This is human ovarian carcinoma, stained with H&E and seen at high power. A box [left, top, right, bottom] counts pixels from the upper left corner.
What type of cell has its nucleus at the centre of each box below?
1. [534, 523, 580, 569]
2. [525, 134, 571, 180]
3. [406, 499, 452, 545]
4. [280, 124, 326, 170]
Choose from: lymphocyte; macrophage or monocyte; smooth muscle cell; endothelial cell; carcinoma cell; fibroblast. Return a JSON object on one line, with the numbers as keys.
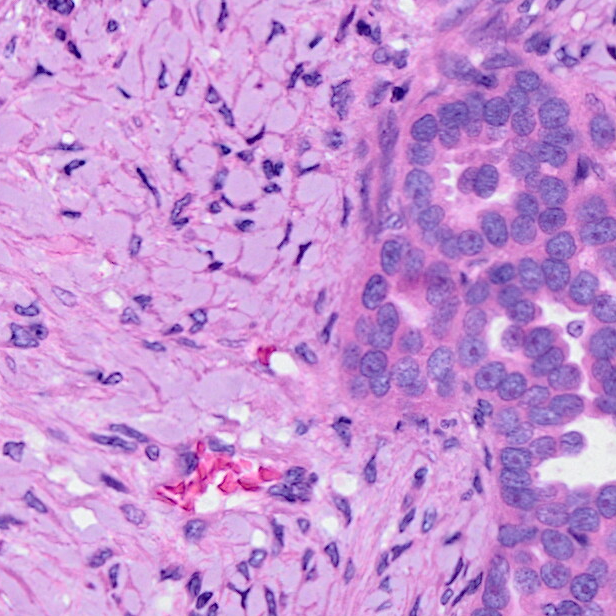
{"1": "carcinoma cell", "2": "carcinoma cell", "3": "fibroblast", "4": "fibroblast"}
